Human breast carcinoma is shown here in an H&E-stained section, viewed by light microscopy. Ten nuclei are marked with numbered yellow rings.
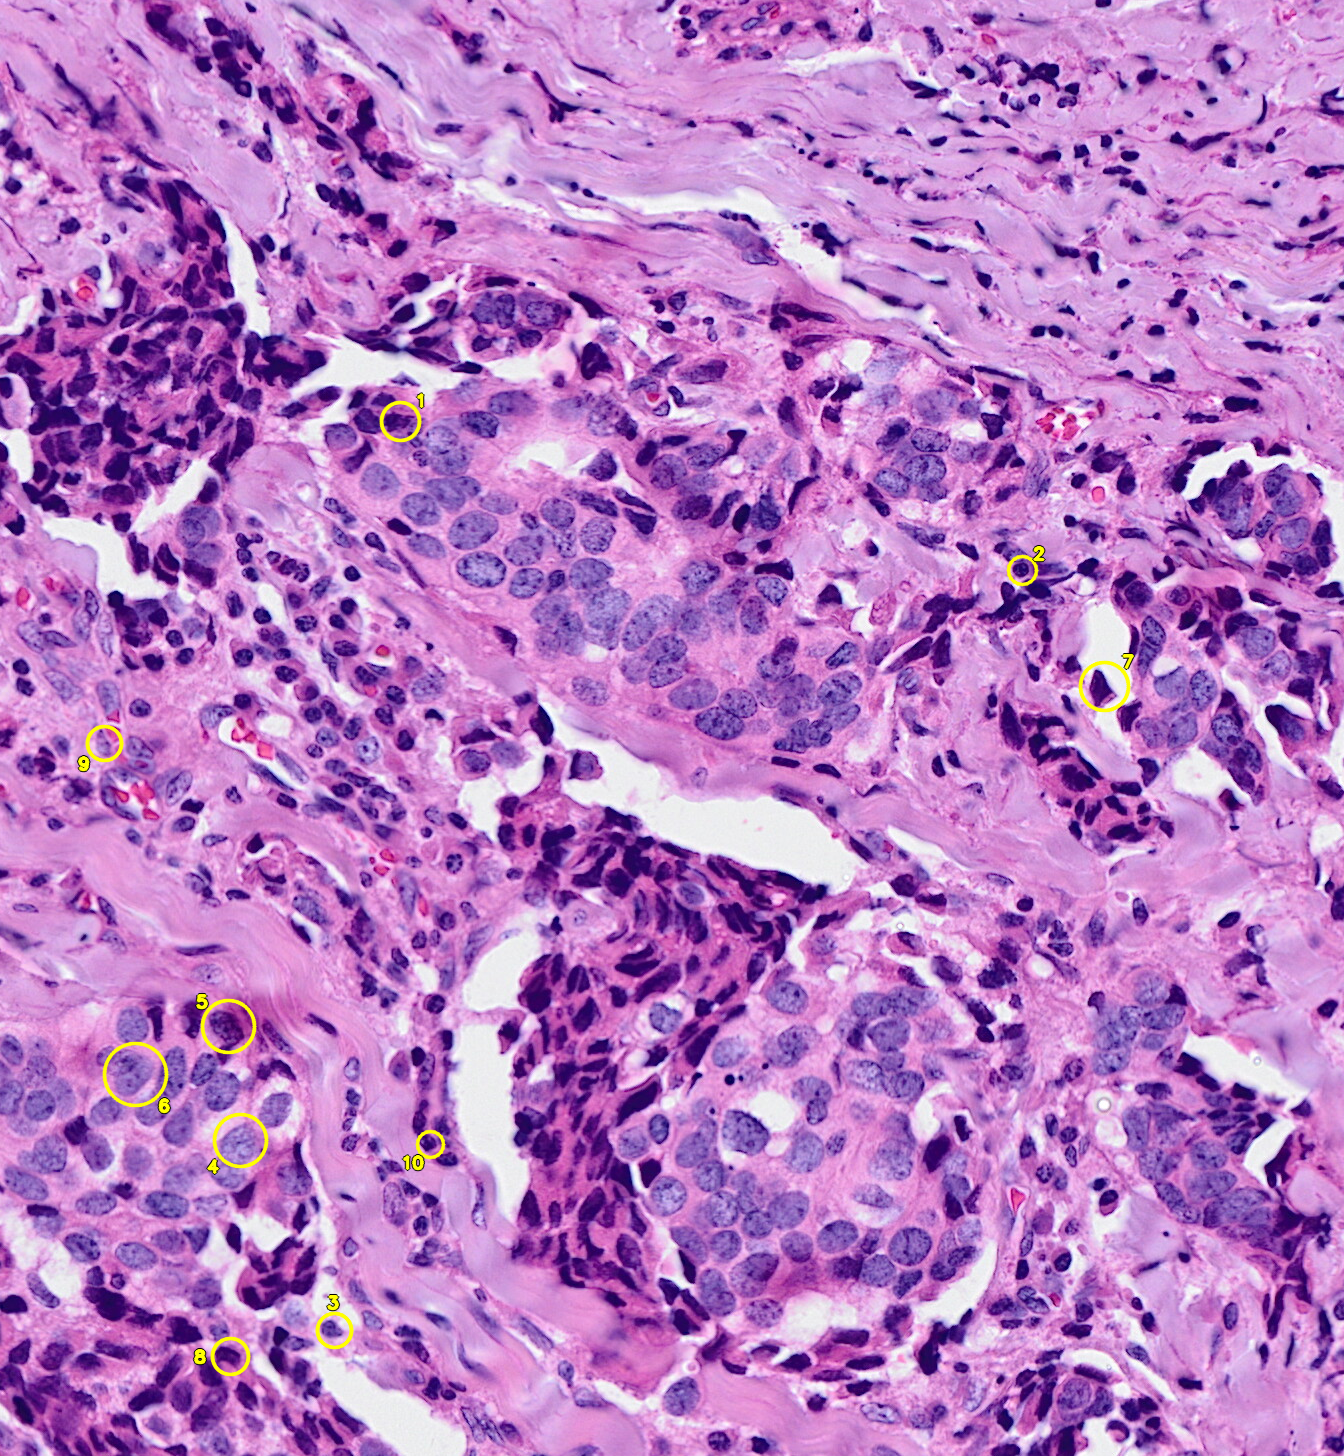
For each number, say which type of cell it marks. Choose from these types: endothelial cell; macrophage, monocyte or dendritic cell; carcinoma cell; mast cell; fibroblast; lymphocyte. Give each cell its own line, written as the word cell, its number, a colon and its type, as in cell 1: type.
cell 1: carcinoma cell
cell 2: lymphocyte
cell 3: lymphocyte
cell 4: carcinoma cell
cell 5: carcinoma cell
cell 6: carcinoma cell
cell 7: carcinoma cell
cell 8: carcinoma cell
cell 9: endothelial cell
cell 10: lymphocyte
